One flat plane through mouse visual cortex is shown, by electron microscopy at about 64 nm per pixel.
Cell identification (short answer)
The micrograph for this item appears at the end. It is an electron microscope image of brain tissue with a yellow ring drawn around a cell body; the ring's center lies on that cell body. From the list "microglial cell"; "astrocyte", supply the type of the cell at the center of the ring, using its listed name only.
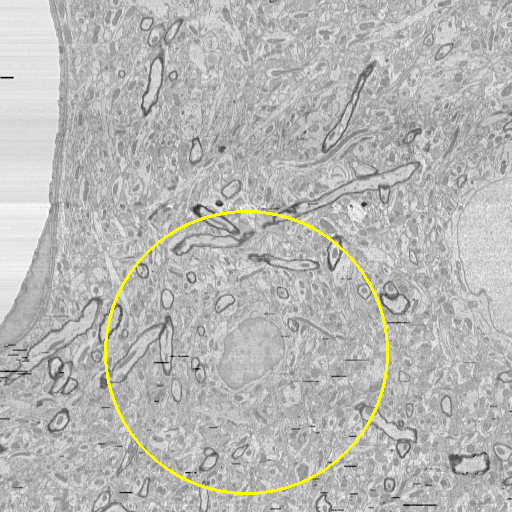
microglial cell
